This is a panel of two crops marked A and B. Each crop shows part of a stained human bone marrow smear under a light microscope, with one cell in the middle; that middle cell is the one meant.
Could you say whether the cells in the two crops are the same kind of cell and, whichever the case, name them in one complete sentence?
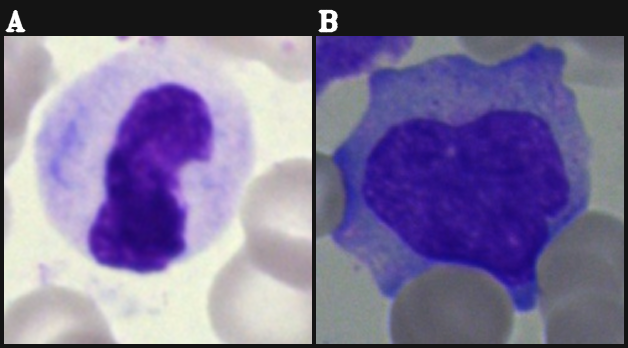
No, crop A displays a band neutrophil and crop B displays a monocyte.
